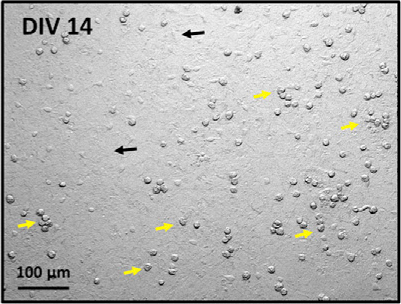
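Mixed glial culture with a flat astrocyte layer bearing numerous microglia. The dish floor is covered by a continuous, pale, low-contrast sheet of flattened cells with faint outlines and no distinct gaps. On top of it lie many small, round, bright-rimmed cells with smooth outlines, scattered singly and gathered in tight clusters of several cells, densest toward the right half of the field. The round cells are far smaller than the flat cells beneath and stand out by their strong relief, seeming to rest above rather than within the underlying layer.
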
